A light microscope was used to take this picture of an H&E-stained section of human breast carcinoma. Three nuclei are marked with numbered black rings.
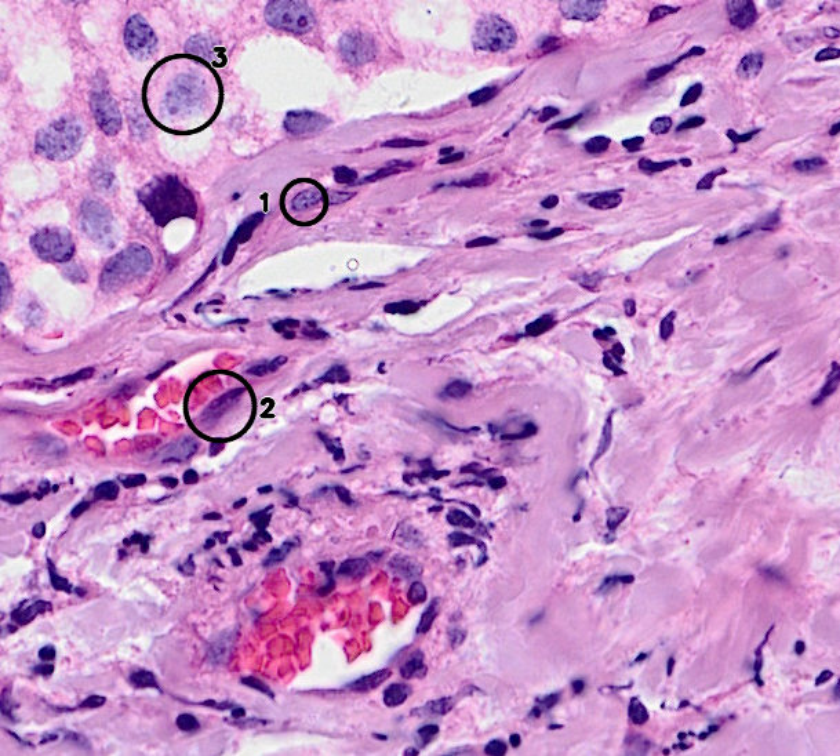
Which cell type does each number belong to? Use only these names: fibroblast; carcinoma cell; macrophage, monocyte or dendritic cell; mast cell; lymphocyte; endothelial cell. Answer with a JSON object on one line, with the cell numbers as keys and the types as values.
{"1": "endothelial cell", "2": "endothelial cell", "3": "carcinoma cell"}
